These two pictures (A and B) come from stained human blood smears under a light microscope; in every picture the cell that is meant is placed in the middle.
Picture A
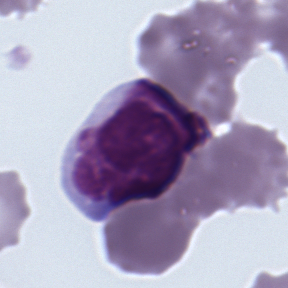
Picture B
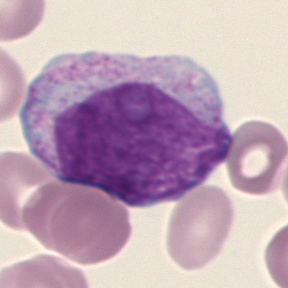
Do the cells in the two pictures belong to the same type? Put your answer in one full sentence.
No, they differ: the cell is a myeloblast in picture A and an atypical promyelocyte in picture B.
